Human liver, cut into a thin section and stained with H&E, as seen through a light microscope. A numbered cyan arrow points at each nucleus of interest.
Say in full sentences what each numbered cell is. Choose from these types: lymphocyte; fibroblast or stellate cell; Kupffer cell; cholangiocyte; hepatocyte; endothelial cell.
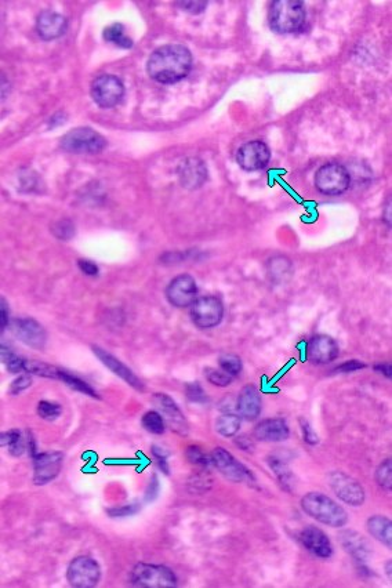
Cell 1 is a cholangiocyte. Cell 2 is a fibroblast or stellate cell. Cell 3 is a hepatocyte.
